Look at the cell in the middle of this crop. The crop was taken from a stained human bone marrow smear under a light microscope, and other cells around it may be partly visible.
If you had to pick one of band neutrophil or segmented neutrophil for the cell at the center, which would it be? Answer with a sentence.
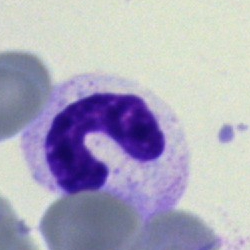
The cell occupying the middle of the crop is a band neutrophil.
